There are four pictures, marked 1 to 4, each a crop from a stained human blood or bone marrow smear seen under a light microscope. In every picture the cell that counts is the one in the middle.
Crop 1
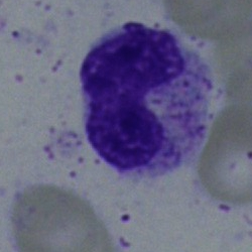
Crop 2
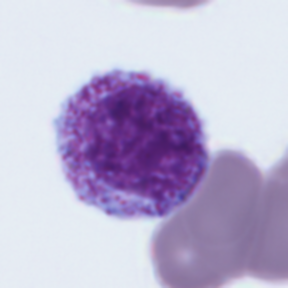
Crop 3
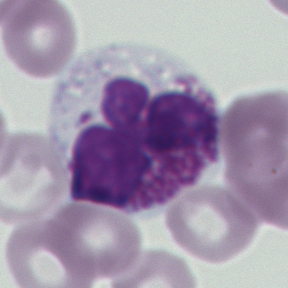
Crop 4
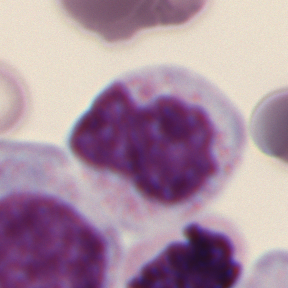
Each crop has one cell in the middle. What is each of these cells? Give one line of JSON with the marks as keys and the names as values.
{"1": "band neutrophil", "2": "myelocyte", "3": "eosinophil", "4": "band neutrophil"}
